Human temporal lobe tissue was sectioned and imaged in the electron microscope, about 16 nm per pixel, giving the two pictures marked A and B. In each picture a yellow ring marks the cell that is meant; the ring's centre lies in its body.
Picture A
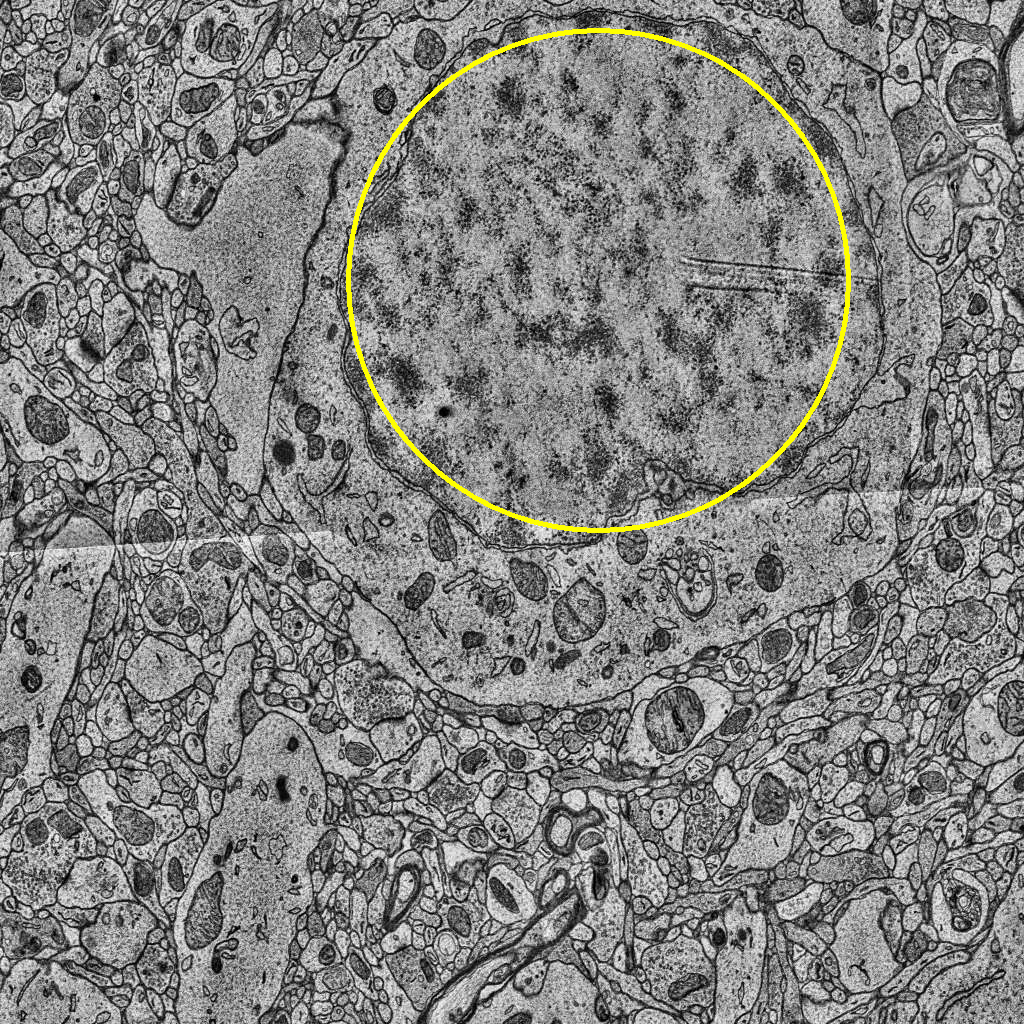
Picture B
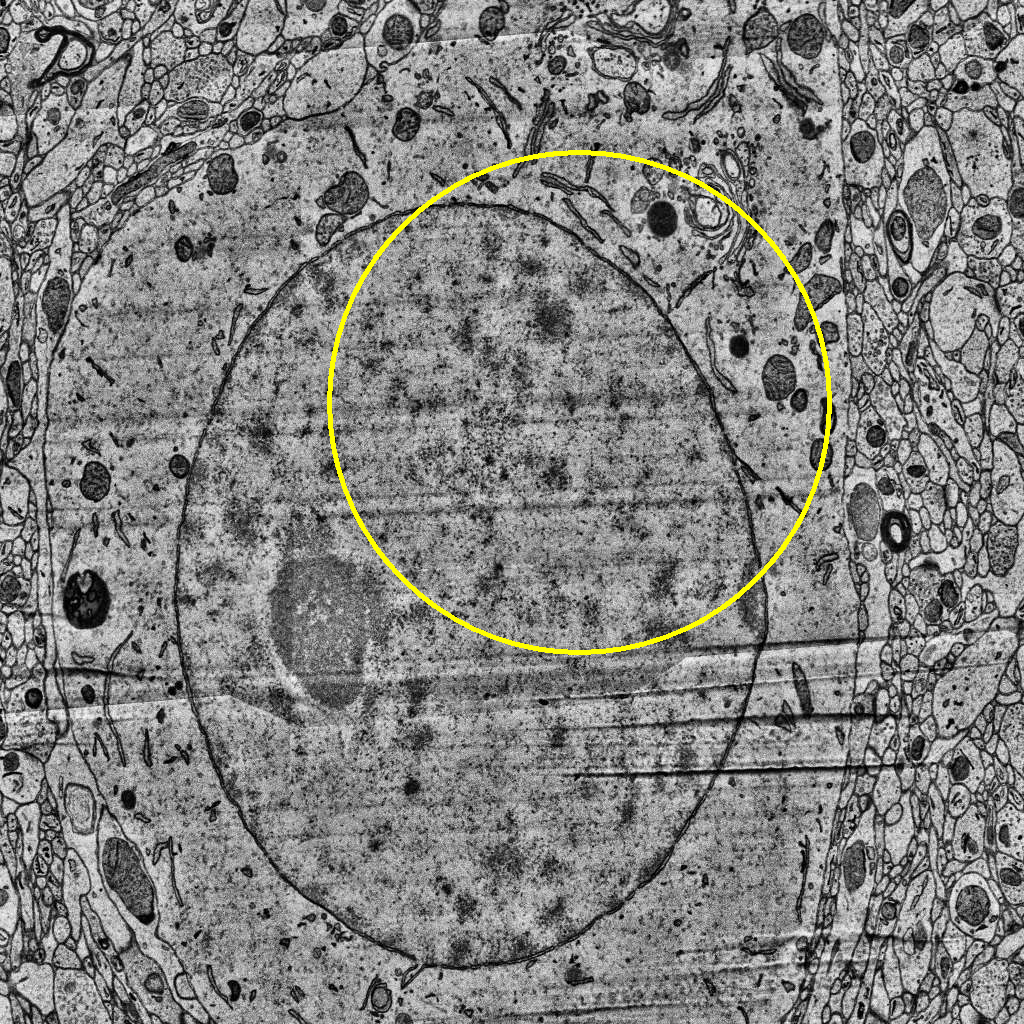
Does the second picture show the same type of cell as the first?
No. Picture A shows an interneuron, but picture B shows a pyramidal neuron.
